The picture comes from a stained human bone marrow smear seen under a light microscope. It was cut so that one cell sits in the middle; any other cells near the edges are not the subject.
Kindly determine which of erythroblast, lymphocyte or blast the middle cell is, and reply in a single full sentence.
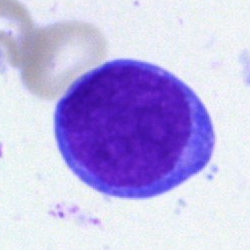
By classification, the middle cell of this crop is a blast.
